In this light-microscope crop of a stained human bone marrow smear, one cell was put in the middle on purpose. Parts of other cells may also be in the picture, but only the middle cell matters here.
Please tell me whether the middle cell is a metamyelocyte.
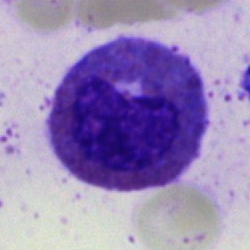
no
